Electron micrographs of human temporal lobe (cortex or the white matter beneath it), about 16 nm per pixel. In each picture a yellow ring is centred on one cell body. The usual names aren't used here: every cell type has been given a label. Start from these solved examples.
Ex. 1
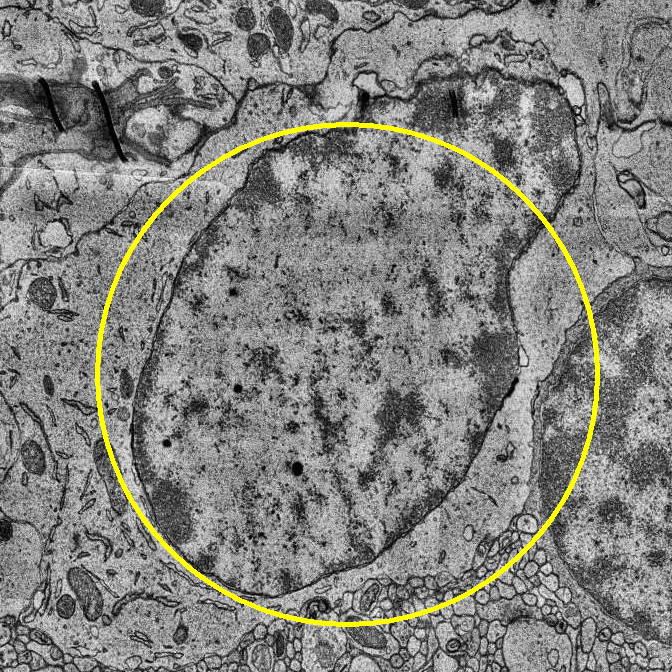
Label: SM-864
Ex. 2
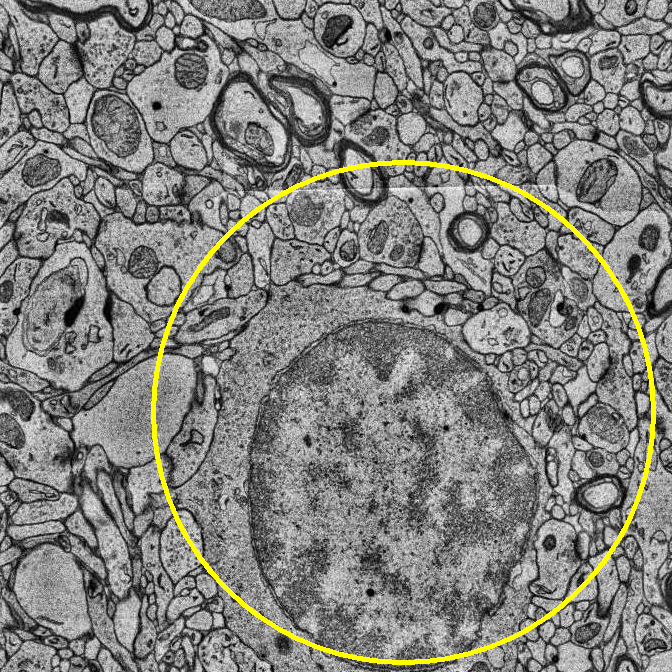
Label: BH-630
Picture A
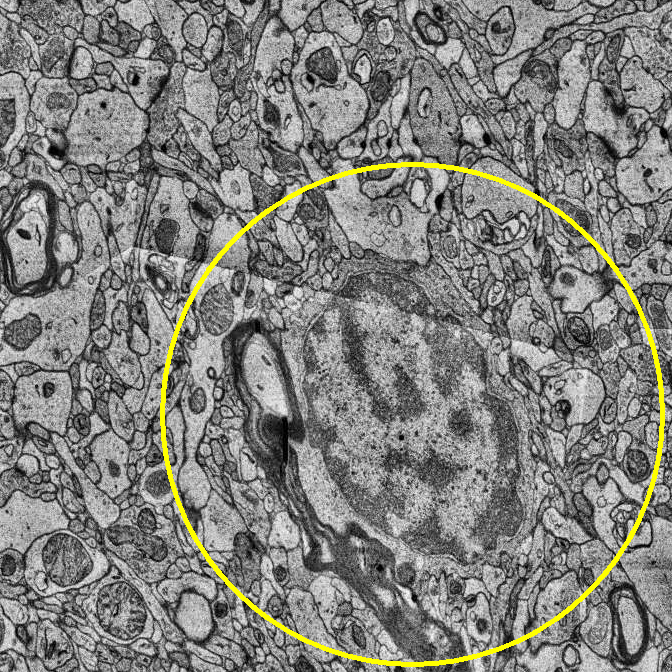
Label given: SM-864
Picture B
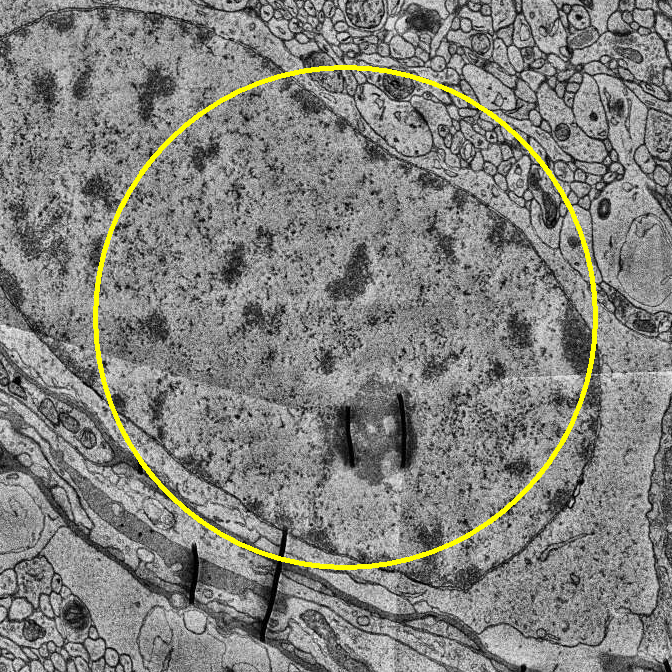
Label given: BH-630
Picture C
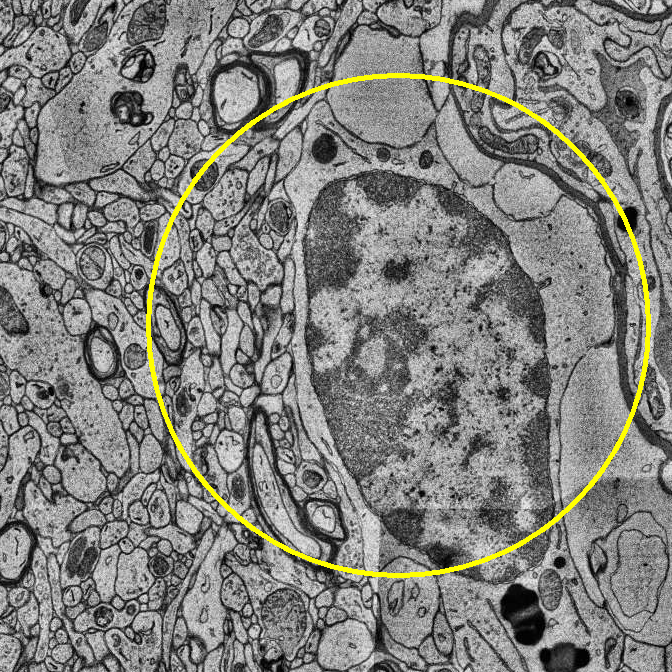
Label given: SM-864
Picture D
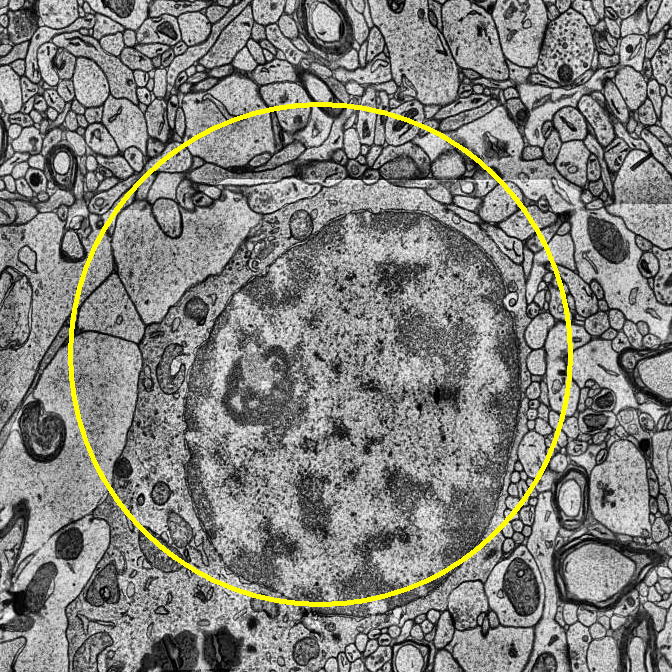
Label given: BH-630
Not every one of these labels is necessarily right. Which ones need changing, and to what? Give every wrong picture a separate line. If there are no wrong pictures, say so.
Wrong: A (SM-864); correct: BH-630
Wrong: B (BH-630); correct: SM-864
